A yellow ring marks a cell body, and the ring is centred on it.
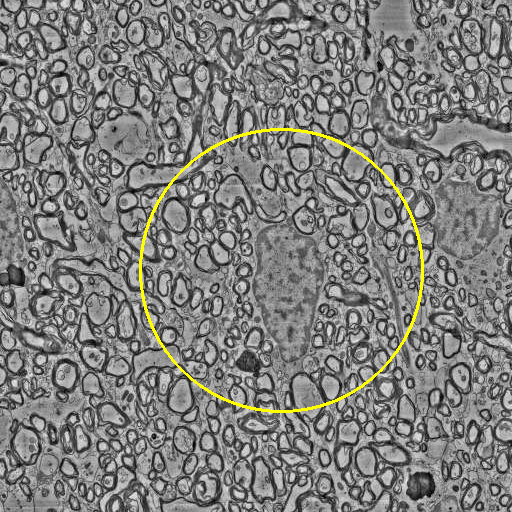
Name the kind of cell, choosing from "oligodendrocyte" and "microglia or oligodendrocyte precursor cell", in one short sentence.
The marked cell body belongs to an oligodendrocyte.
